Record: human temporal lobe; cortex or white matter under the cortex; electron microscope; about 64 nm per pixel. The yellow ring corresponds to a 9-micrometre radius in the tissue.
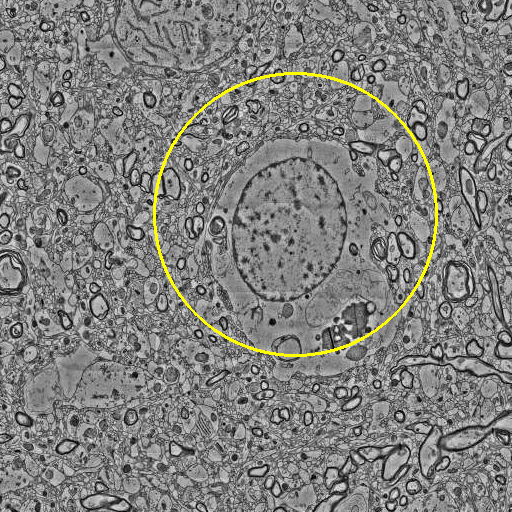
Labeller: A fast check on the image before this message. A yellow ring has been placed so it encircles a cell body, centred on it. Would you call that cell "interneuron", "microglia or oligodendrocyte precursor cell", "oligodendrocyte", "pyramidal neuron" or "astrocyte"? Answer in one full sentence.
In this image, an astrocyte is the cell on which the yellow ring is centred.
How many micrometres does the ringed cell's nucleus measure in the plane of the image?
The nucleus is approximately 9 micrometers long by 7 micrometers wide in this plane.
